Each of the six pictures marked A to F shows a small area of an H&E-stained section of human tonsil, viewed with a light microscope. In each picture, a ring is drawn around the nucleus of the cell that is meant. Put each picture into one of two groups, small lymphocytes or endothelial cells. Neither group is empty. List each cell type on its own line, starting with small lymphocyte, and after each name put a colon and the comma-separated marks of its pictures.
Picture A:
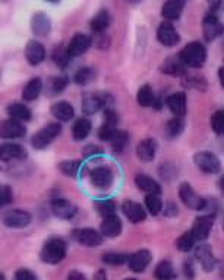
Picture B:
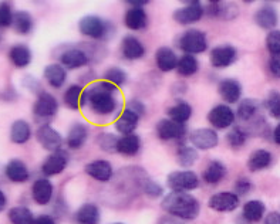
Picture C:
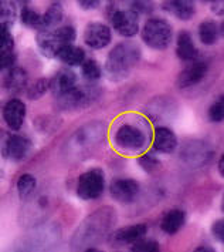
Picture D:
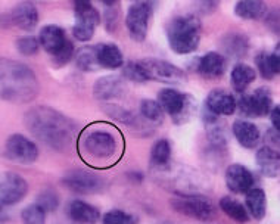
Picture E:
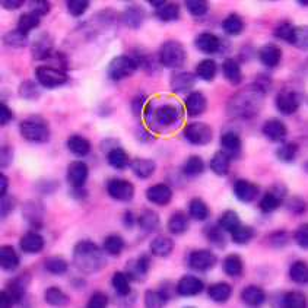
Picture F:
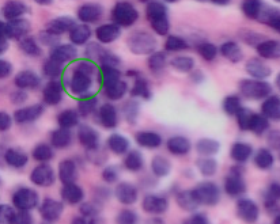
small lymphocyte: A, B, E, F
endothelial cell: C, D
